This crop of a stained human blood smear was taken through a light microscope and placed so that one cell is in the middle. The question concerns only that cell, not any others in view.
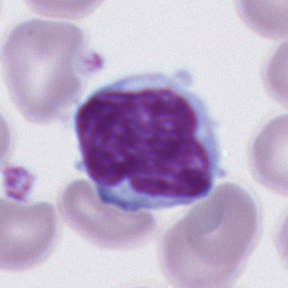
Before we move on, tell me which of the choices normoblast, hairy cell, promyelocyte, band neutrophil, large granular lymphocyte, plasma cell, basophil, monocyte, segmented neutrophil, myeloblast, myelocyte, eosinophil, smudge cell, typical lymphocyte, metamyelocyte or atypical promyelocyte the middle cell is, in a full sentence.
Regarding the central cell, it is a typical lymphocyte.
